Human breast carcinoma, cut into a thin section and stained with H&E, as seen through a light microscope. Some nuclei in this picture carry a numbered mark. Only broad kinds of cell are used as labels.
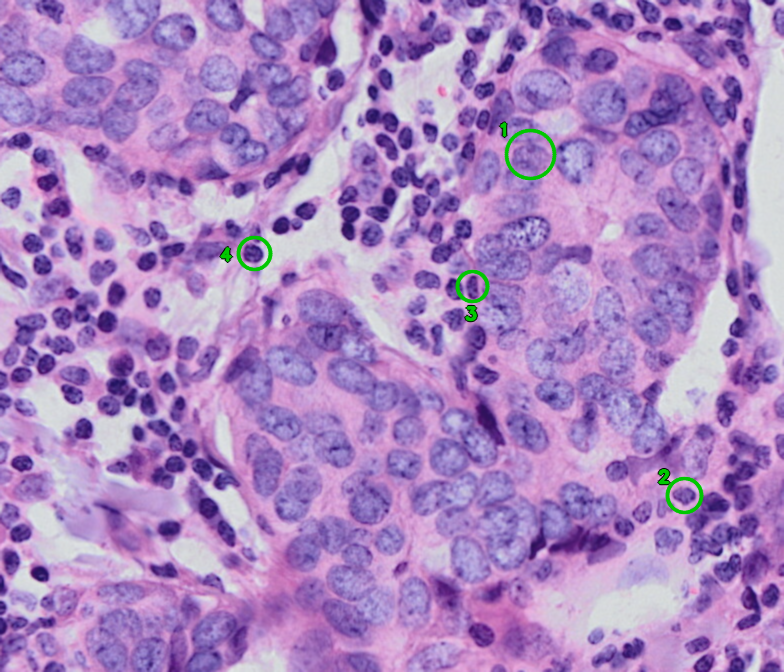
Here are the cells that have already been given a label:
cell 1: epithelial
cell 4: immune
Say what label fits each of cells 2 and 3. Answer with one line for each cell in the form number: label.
2: immune
3: immune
